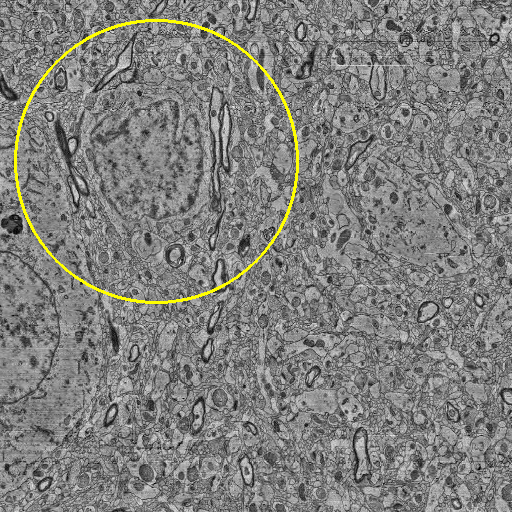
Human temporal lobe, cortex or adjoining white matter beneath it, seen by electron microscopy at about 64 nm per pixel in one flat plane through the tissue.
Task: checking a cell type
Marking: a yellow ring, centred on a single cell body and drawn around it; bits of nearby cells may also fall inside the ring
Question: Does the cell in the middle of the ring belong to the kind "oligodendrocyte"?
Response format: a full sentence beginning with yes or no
No, the cell marked at the ring's centre in the picture is of a different kind.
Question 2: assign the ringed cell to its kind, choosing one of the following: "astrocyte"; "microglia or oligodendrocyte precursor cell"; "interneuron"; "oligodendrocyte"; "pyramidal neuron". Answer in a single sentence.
The cell shown in the ring is an interneuron.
